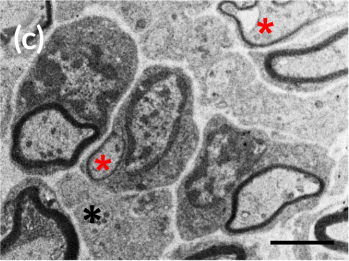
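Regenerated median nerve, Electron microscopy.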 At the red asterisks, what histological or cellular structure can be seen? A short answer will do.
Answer: Axons surrounded by a thin layer of myelin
